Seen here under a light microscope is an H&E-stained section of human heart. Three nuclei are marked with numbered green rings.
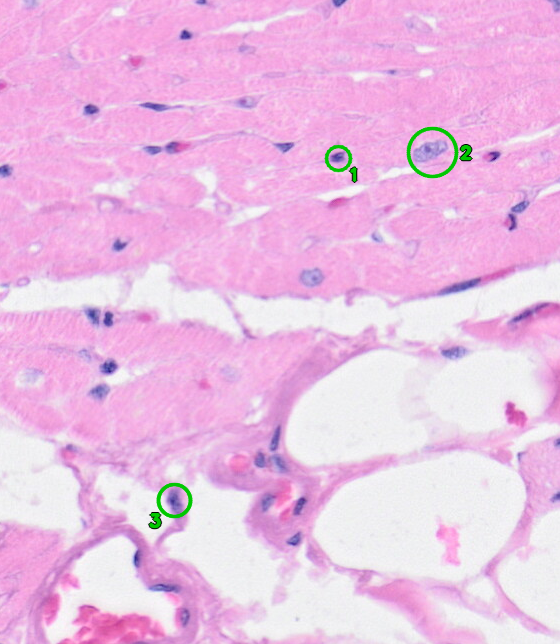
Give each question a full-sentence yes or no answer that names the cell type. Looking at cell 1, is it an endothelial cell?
Yes, to put it simply, cell number 1 is an endothelial cell.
